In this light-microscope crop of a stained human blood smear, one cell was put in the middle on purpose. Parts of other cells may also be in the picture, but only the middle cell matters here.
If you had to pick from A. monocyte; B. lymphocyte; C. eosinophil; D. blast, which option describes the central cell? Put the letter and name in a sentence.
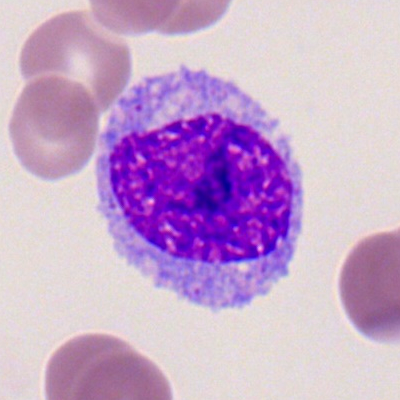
Identification: the cell in the middle is a monocyte, matching option A.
